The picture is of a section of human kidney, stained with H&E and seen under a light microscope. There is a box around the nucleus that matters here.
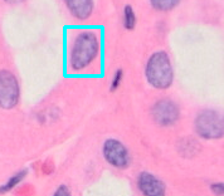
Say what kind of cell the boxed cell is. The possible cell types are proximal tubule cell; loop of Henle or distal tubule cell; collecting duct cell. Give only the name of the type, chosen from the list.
loop of Henle or distal tubule cell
